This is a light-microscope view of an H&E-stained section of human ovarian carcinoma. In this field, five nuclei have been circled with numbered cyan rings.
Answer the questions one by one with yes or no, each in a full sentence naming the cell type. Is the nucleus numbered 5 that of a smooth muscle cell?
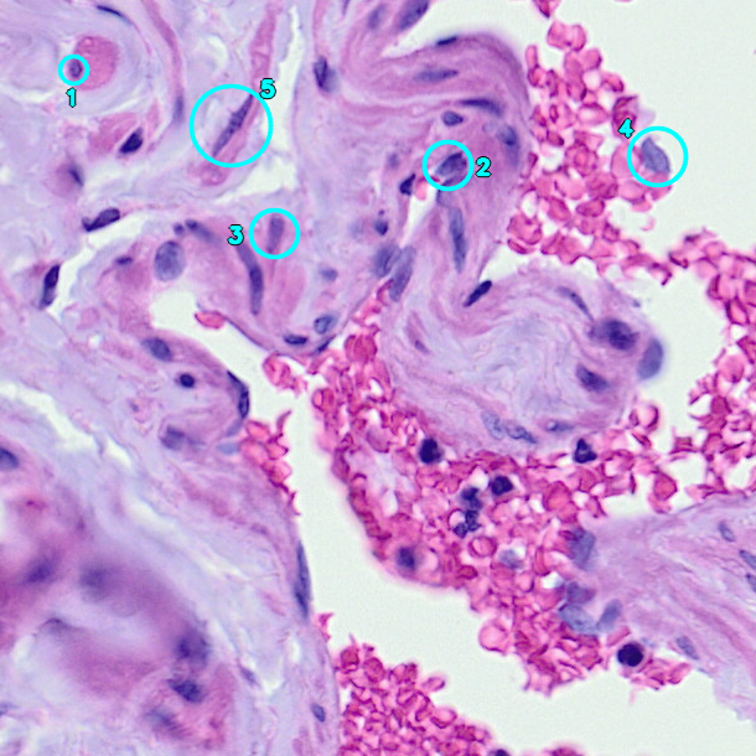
Yes, the cell bearing the number 5 is a smooth muscle cell.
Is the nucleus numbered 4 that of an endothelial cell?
Yes, number 4 marks a cell that is an endothelial cell.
